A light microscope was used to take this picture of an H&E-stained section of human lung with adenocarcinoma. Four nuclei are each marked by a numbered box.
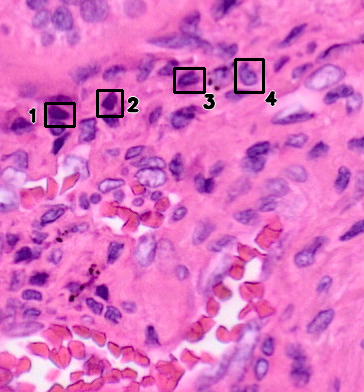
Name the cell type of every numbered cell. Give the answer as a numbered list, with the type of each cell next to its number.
1. plasma cell
2. plasma cell
3. plasma cell
4. mast cell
